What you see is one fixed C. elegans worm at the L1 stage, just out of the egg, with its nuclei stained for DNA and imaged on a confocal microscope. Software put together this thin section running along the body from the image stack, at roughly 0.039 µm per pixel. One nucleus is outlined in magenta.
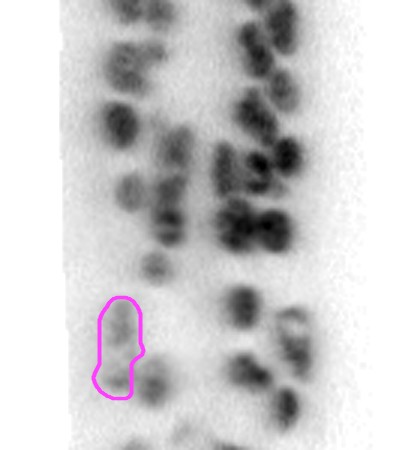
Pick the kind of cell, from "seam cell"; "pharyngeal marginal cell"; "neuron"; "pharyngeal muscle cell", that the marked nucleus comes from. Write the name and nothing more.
seam cell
